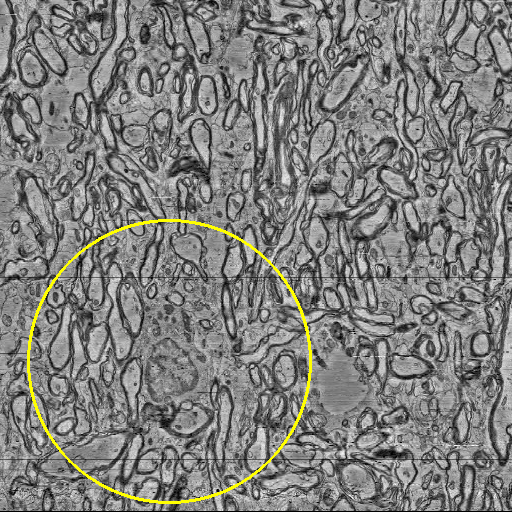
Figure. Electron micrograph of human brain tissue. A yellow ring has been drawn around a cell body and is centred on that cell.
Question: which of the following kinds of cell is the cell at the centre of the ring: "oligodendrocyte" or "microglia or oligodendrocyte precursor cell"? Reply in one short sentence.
The cell at the centre of the ring is an oligodendrocyte.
